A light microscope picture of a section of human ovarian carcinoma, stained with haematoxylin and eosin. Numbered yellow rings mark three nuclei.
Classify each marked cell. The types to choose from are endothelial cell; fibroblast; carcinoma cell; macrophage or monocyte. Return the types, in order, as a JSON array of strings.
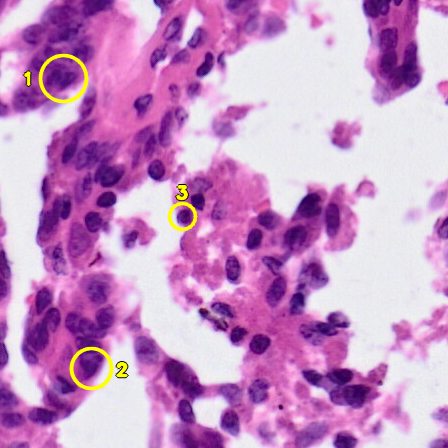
["carcinoma cell", "carcinoma cell", "macrophage or monocyte"]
